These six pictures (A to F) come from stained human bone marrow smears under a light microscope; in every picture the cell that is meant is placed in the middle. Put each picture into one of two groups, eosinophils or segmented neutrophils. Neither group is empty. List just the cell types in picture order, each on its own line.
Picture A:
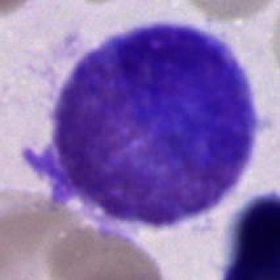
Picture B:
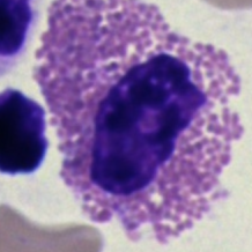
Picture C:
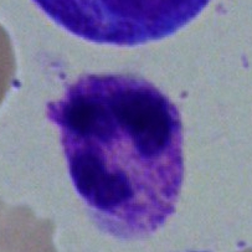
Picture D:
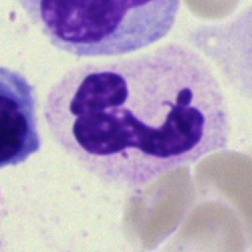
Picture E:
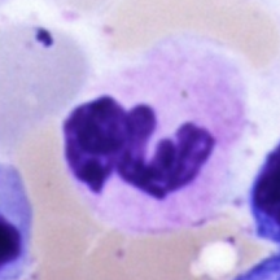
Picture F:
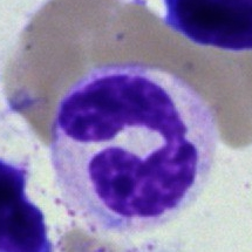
eosinophil
eosinophil
segmented neutrophil
segmented neutrophil
segmented neutrophil
segmented neutrophil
